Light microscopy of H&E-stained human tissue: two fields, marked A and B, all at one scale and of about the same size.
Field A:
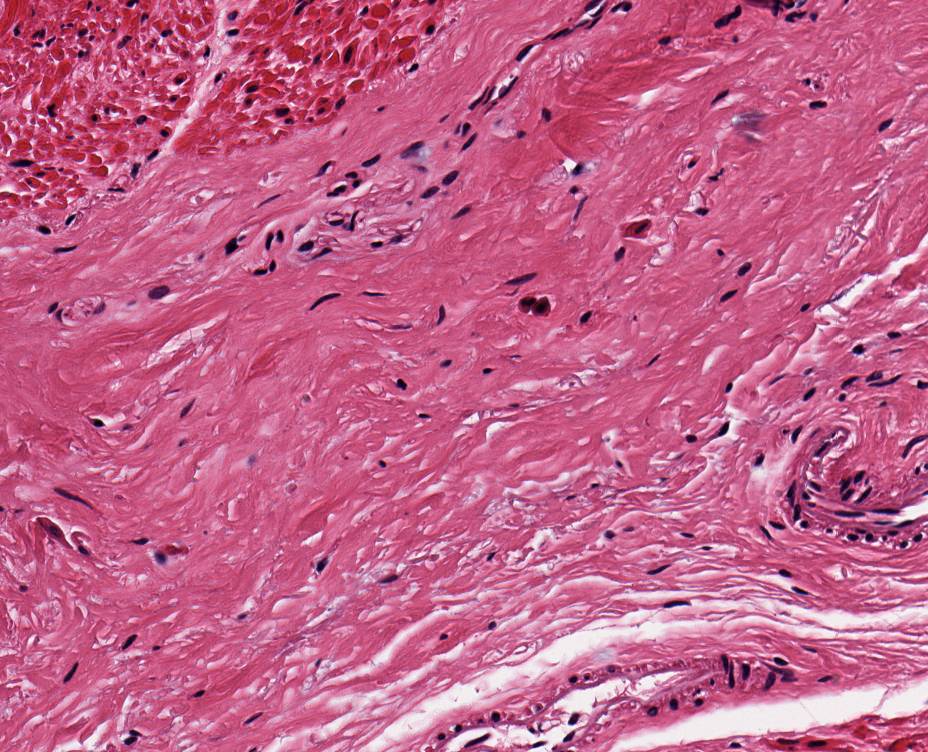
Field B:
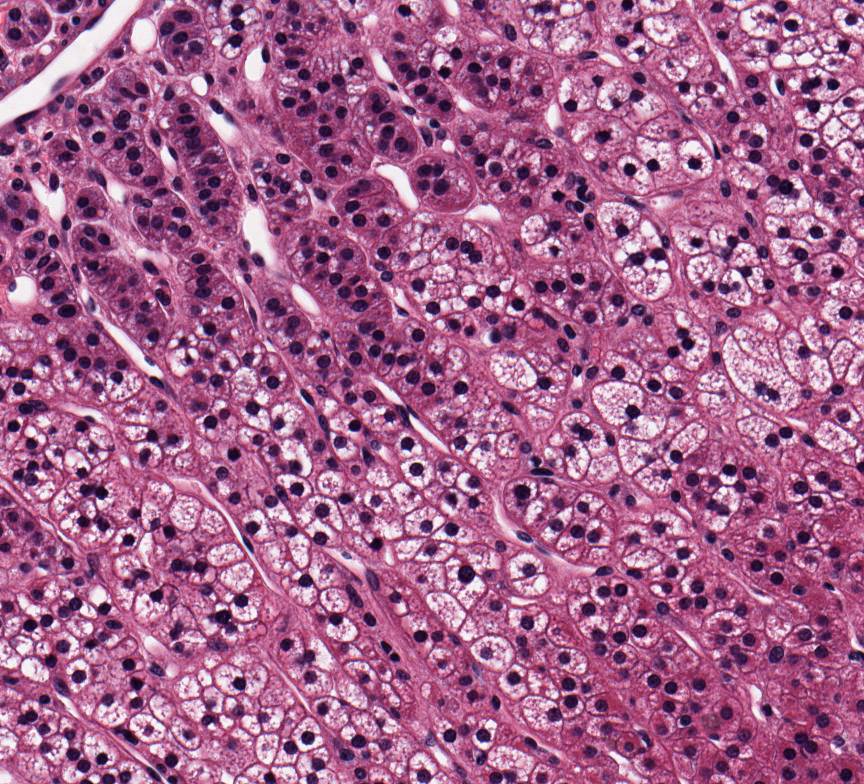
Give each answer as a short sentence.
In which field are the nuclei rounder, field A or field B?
It is field B whose nuclei are the rounder.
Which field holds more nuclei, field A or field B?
More nuclei lie in field B than in field A.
